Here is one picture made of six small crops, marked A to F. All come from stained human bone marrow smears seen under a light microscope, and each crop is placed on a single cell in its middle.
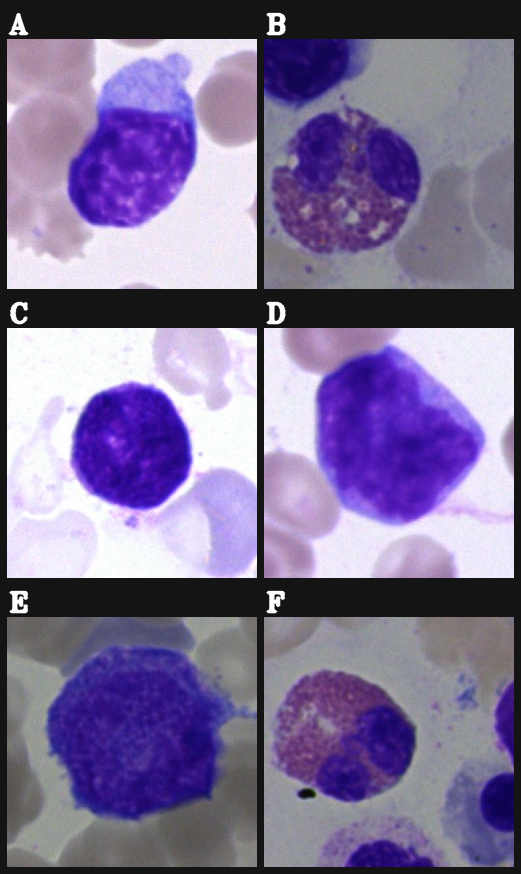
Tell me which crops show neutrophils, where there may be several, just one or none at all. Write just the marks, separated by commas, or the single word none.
none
